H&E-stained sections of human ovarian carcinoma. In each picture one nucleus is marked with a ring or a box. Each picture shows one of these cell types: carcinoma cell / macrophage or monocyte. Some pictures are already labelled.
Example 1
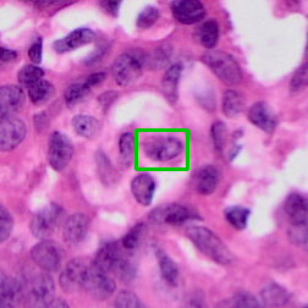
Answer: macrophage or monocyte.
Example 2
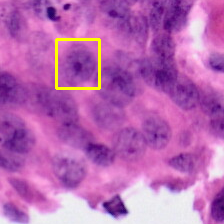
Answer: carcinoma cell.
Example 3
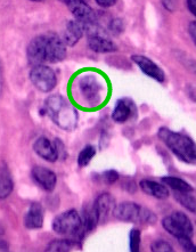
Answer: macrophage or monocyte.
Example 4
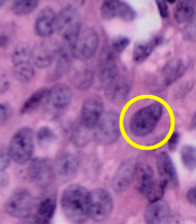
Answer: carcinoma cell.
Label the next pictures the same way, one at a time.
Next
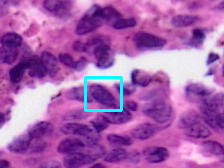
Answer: carcinoma cell.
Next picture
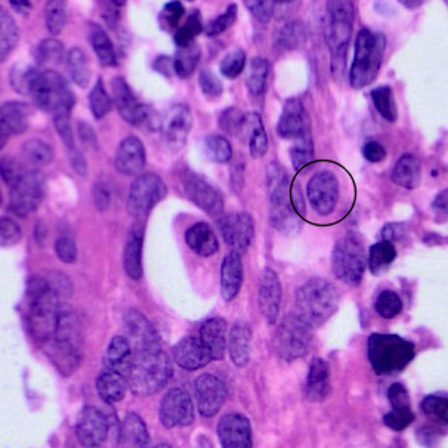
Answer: macrophage or monocyte.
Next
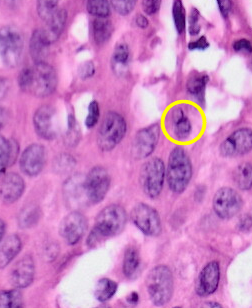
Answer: macrophage or monocyte.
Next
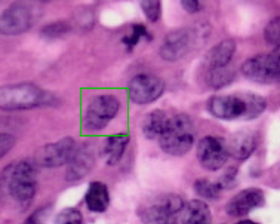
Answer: carcinoma cell.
